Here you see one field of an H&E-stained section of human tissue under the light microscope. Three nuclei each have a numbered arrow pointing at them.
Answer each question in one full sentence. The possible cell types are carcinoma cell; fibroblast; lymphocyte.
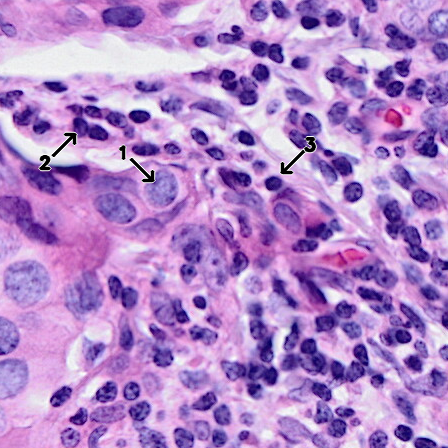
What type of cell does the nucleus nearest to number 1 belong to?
It is a carcinoma cell whose nucleus is nearest to number 1.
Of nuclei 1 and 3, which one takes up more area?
At about 2 times the area of nucleus 3, nucleus 1 is the larger of the two.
